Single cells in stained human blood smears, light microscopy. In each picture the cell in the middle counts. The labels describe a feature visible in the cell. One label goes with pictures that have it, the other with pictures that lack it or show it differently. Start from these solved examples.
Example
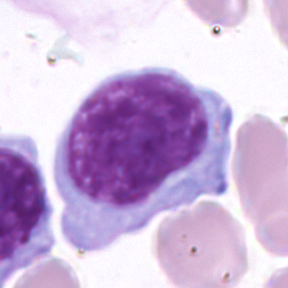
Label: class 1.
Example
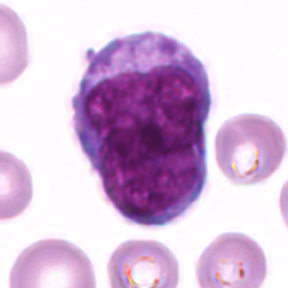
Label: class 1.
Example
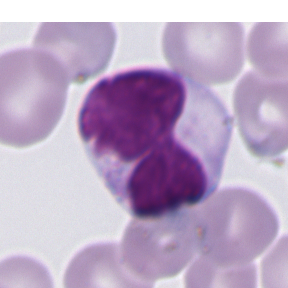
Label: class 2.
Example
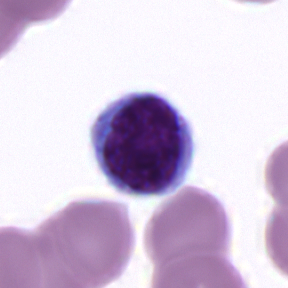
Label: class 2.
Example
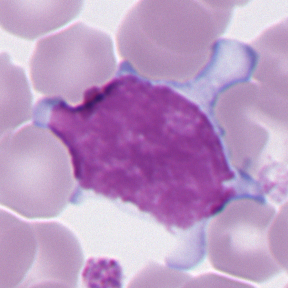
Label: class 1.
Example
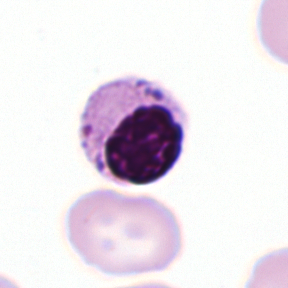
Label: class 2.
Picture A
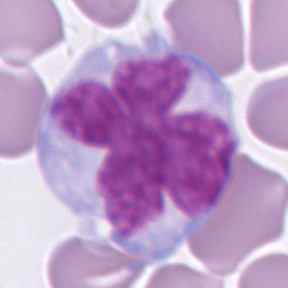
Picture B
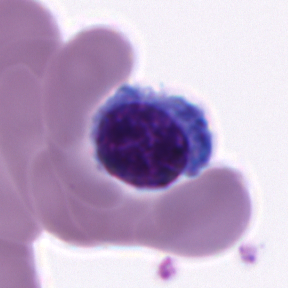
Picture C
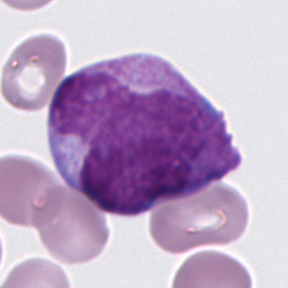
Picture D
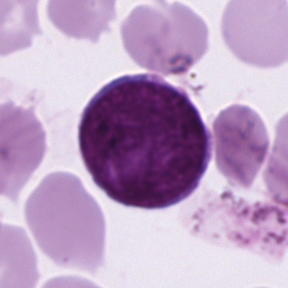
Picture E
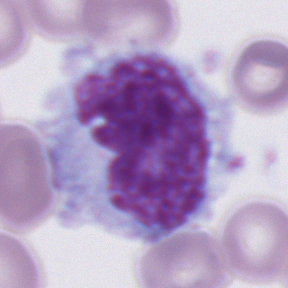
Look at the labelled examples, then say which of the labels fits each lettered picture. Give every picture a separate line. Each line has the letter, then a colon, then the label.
A: class 2.
B: class 1.
C: class 1.
D: class 2.
E: class 1.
